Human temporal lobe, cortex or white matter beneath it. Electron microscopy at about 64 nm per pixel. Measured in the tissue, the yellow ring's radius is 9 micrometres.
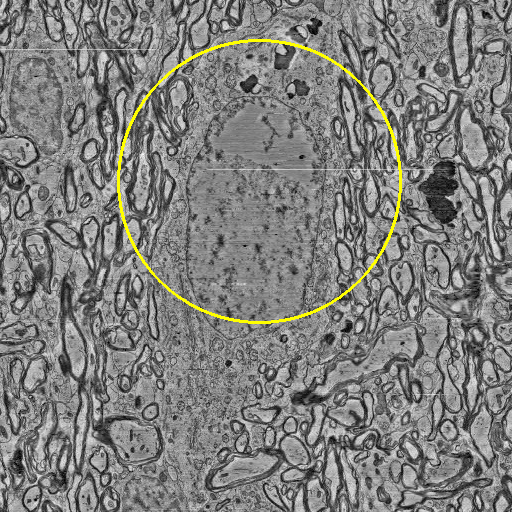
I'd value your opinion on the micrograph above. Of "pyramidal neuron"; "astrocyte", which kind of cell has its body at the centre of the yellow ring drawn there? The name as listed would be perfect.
pyramidal neuron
